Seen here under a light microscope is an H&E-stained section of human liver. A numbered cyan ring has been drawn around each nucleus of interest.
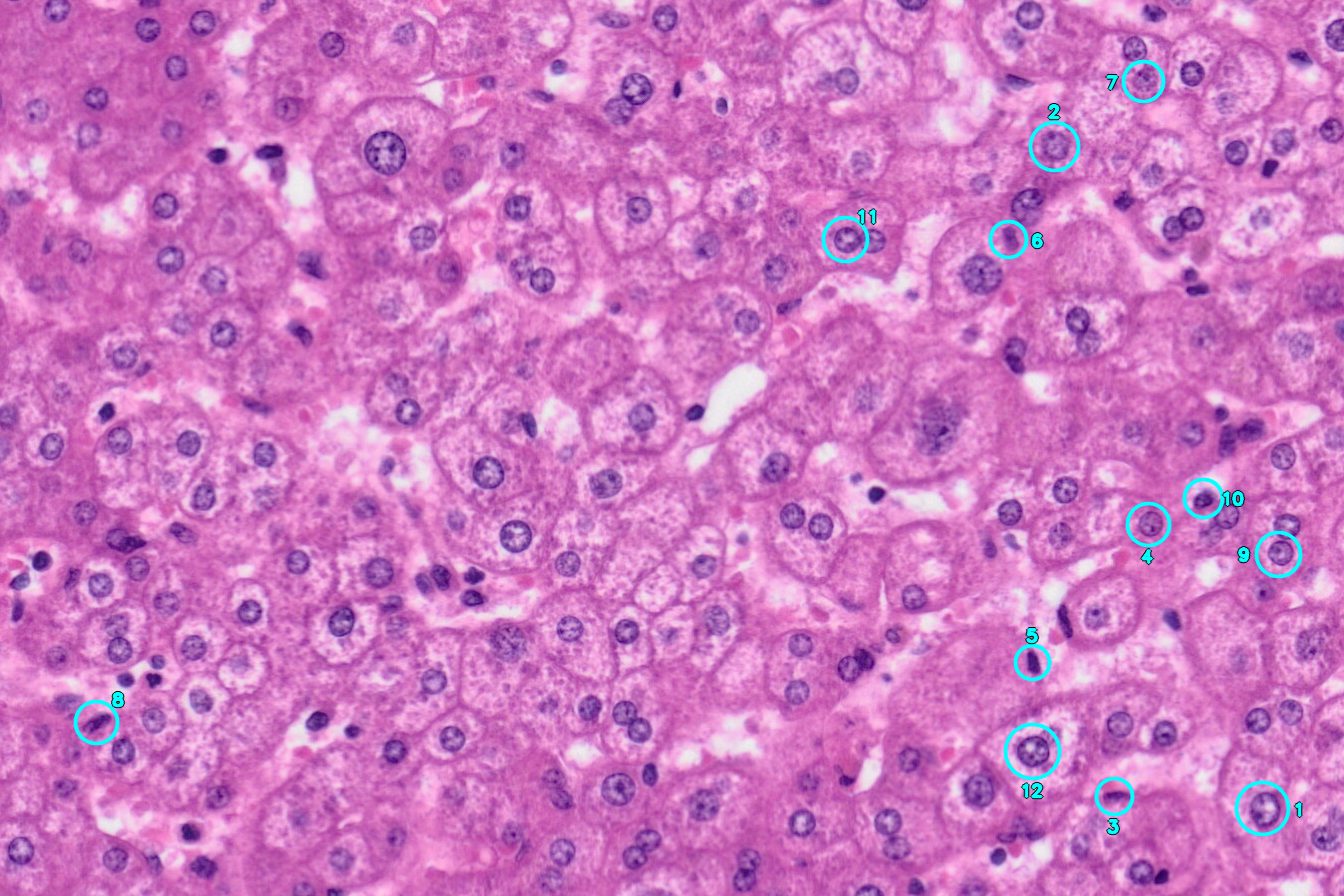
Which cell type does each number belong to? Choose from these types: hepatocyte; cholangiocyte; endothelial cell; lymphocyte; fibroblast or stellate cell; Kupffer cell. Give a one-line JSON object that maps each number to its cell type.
{"1": "hepatocyte", "2": "hepatocyte", "3": "endothelial cell", "4": "hepatocyte", "5": "fibroblast or stellate cell", "6": "fibroblast or stellate cell", "7": "hepatocyte", "8": "fibroblast or stellate cell", "9": "hepatocyte", "10": "Kupffer cell", "11": "hepatocyte", "12": "hepatocyte"}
